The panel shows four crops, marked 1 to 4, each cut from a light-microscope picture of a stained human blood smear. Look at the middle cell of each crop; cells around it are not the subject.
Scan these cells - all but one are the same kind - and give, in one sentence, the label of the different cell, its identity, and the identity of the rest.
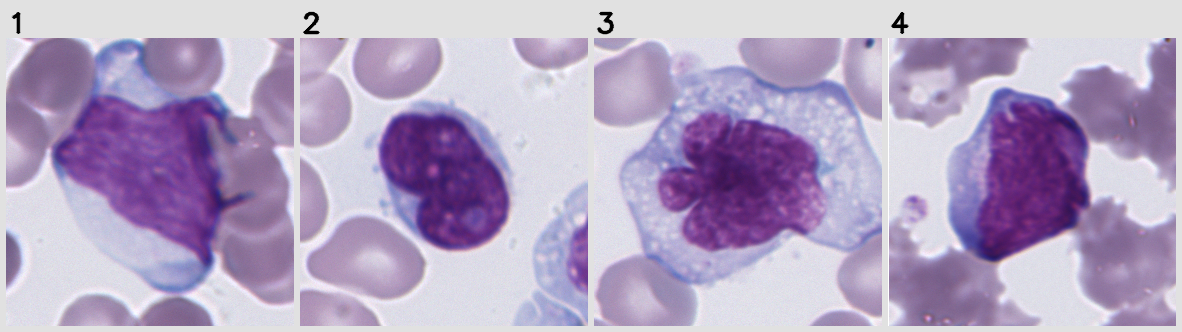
Crop 3 is a monocyte, unlike the other crops, which all show myeloblasts.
